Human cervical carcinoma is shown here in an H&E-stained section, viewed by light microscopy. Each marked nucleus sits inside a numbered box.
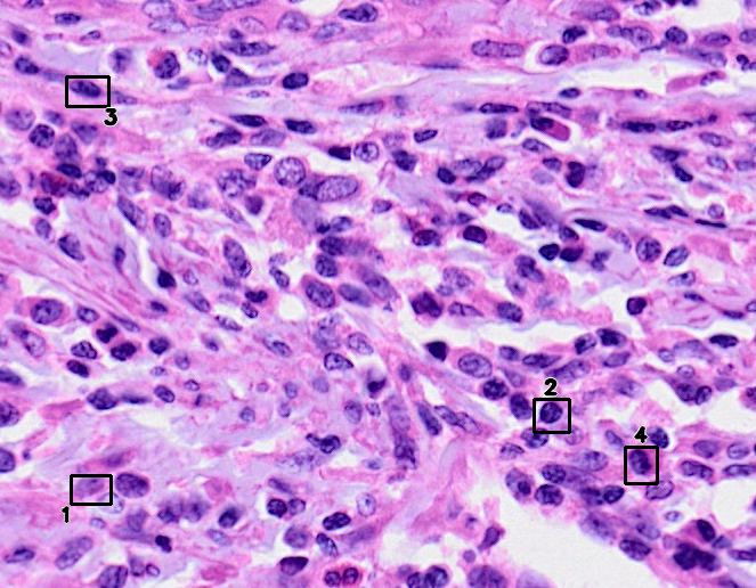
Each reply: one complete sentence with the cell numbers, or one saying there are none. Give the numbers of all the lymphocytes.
The cells that have been numbered 2, 3 and 4 are lymphocytes.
